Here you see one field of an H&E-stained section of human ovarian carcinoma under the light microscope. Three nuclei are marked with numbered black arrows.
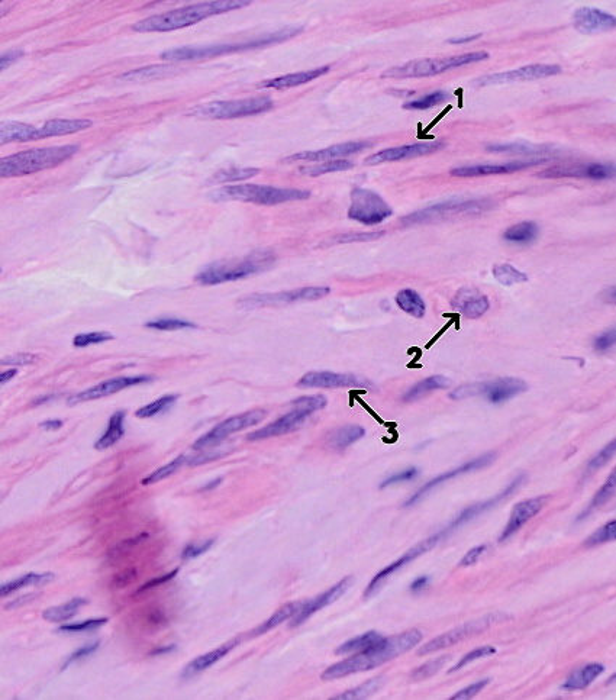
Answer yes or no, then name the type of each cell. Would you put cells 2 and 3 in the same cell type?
No, cell 2 is an endothelial cell and cell 3 is a smooth muscle cell.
